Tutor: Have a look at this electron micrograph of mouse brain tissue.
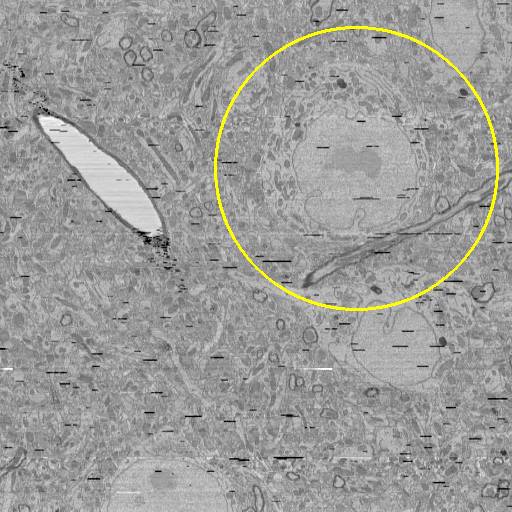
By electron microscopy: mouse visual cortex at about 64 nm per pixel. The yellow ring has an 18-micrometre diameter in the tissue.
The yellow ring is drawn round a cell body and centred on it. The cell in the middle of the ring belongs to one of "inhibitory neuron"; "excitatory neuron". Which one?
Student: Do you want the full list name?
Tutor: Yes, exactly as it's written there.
inhibitory neuron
